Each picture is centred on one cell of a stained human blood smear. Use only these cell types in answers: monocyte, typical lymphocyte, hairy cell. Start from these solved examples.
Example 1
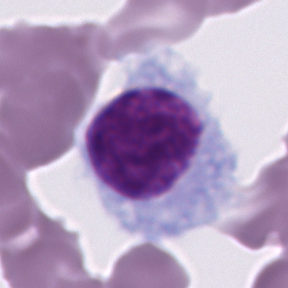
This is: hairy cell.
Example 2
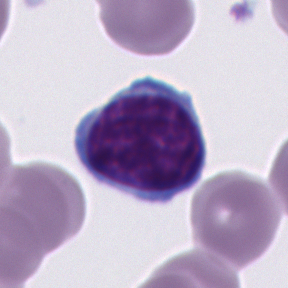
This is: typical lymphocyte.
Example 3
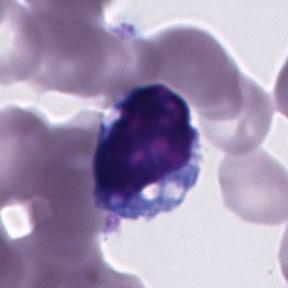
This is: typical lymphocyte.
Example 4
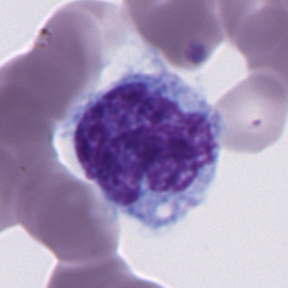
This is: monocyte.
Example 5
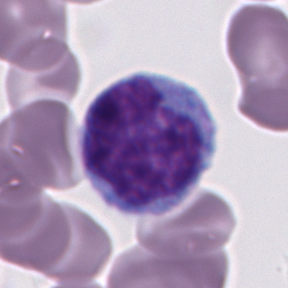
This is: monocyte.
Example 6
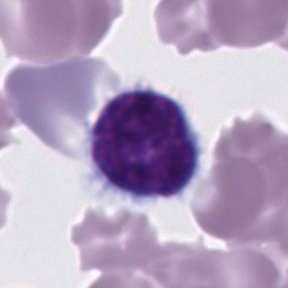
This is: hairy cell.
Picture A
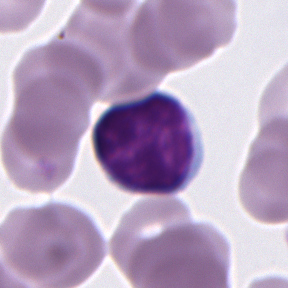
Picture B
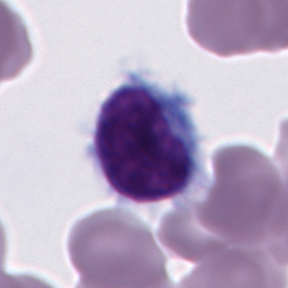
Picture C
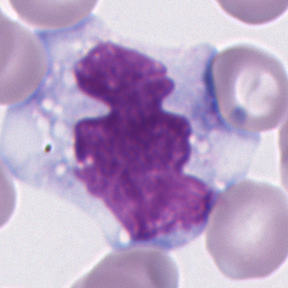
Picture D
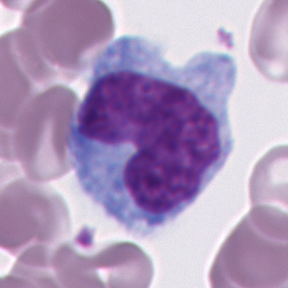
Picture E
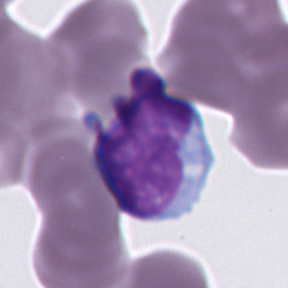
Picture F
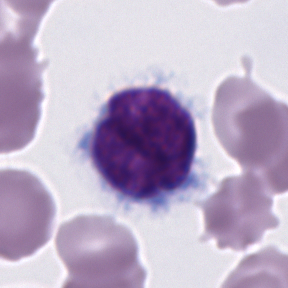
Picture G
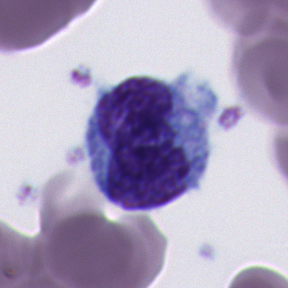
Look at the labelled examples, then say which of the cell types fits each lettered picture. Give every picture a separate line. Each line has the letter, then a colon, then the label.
A: typical lymphocyte.
B: hairy cell.
C: monocyte.
D: monocyte.
E: typical lymphocyte.
F: hairy cell.
G: monocyte.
